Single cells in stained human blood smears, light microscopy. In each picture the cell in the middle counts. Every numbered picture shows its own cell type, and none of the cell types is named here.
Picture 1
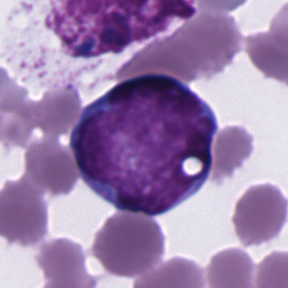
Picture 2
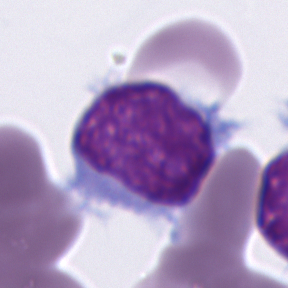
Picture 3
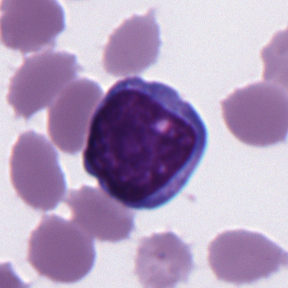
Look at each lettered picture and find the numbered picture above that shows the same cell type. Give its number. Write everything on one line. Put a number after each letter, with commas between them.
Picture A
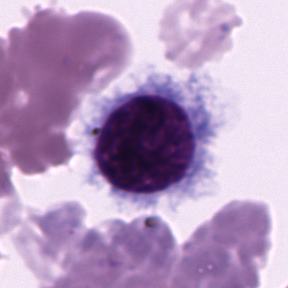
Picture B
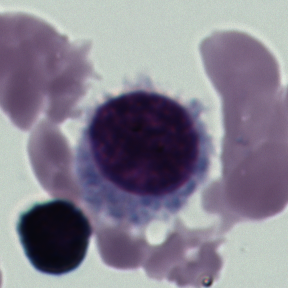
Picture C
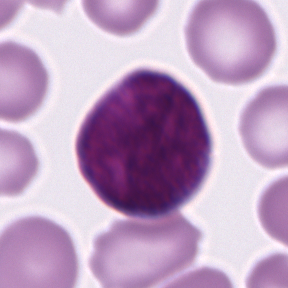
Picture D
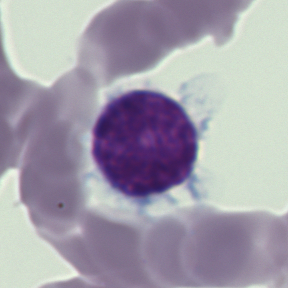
A 2, B 2, C 1, D 2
